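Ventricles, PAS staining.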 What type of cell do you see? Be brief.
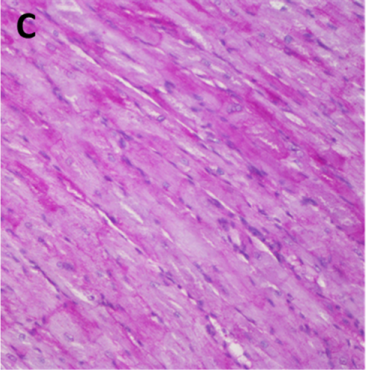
Myocytes.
